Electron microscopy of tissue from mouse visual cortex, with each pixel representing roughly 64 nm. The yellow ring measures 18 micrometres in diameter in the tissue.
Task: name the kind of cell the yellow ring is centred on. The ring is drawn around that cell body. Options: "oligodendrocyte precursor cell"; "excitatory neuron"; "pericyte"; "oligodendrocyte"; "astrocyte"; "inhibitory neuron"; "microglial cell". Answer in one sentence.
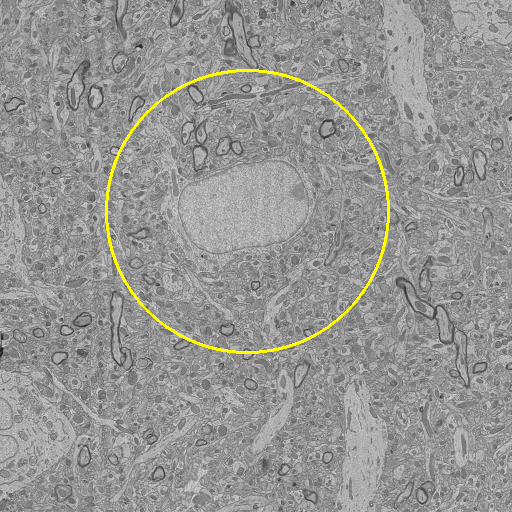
This cell body belongs to an astrocyte.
